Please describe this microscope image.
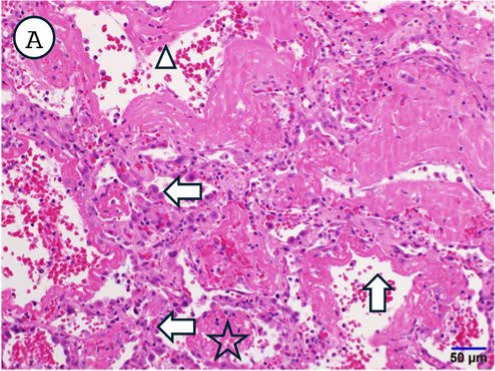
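Lung tissue shows diffuse damage of the alveoli: many airspaces are lined or filled by pink glassy membranes and amorphous pink exudate, with red blood cells in several spaces. The alveolar walls are thickened and cellular, and some are lined by crowded plump cells with enlarged nuclei.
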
